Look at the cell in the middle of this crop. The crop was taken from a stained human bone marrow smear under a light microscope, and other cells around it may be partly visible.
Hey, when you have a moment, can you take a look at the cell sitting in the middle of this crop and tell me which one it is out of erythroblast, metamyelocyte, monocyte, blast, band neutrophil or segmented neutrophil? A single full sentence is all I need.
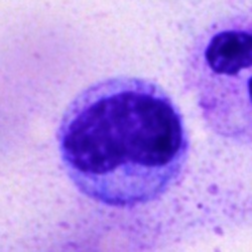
On this slide crop, the central cell is a metamyelocyte.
